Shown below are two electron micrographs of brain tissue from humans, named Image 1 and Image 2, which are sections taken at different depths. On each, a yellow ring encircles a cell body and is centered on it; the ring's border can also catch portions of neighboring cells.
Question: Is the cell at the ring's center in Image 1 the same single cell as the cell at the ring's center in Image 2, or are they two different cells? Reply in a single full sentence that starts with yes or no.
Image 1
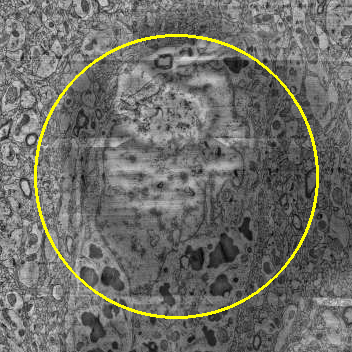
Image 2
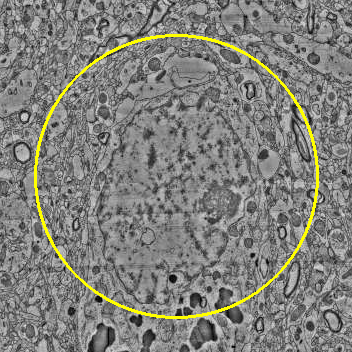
Yes, the second ring marks the same cell as the first.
